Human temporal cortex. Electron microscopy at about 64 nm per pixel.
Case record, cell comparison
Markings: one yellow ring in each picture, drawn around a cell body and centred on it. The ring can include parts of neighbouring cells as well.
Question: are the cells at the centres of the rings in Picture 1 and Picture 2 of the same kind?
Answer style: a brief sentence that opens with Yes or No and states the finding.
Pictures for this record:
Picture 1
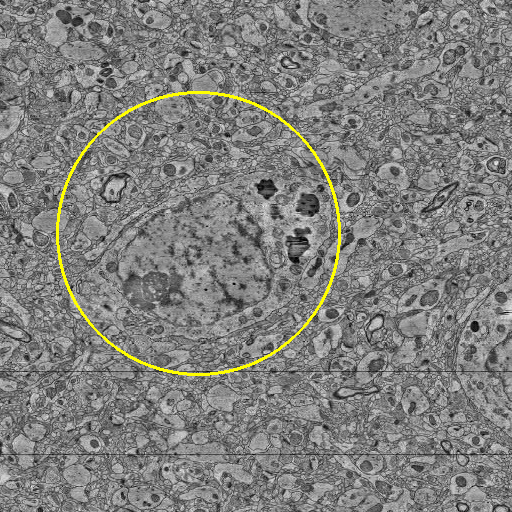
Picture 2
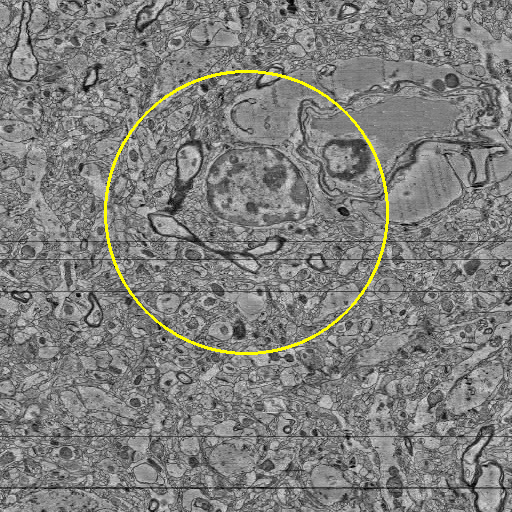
No, the cells in Picture 1 and Picture 2 are of two kinds.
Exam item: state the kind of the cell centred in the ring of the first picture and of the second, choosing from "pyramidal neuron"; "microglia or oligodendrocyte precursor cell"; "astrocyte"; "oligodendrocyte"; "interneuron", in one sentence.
The first picture shows an interneuron at the ring centre and the second shows a microglial cell or oligodendrocyte precursor cell.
